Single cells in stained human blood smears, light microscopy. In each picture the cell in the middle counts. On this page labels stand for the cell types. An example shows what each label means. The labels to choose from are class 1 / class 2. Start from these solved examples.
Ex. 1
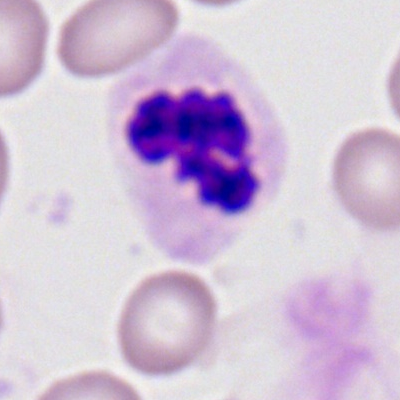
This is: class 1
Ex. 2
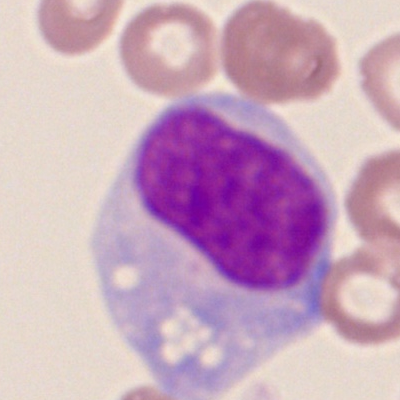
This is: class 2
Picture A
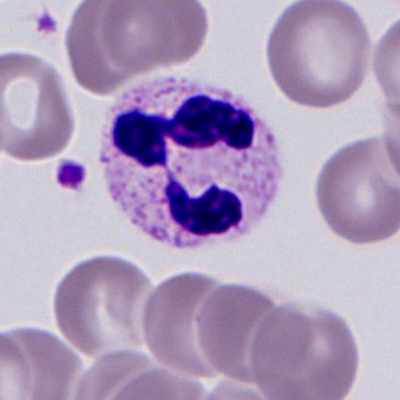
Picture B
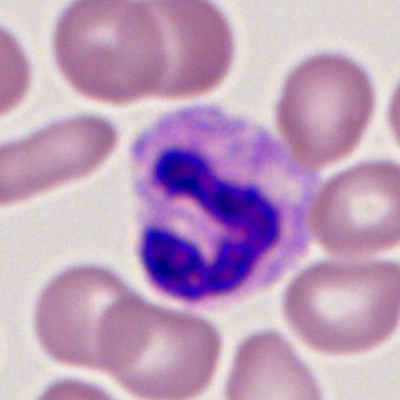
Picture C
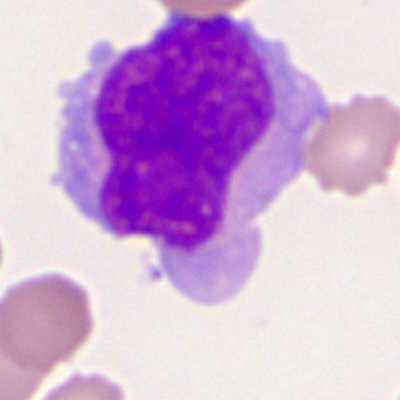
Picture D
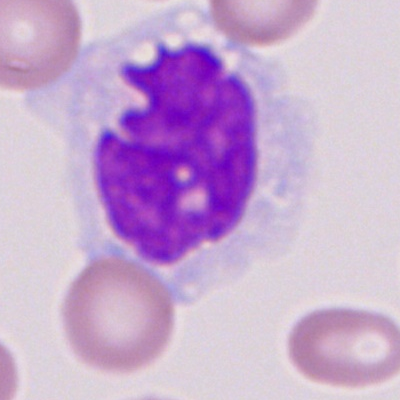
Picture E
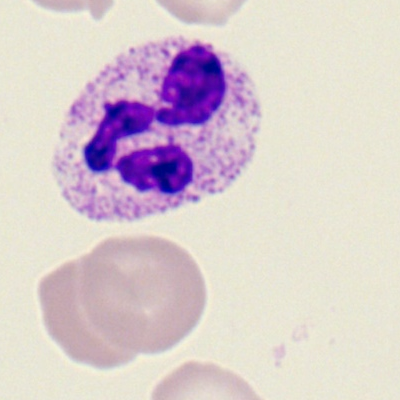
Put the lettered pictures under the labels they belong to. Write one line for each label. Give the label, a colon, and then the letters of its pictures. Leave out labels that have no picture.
class 1: A, B, E
class 2: C, D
